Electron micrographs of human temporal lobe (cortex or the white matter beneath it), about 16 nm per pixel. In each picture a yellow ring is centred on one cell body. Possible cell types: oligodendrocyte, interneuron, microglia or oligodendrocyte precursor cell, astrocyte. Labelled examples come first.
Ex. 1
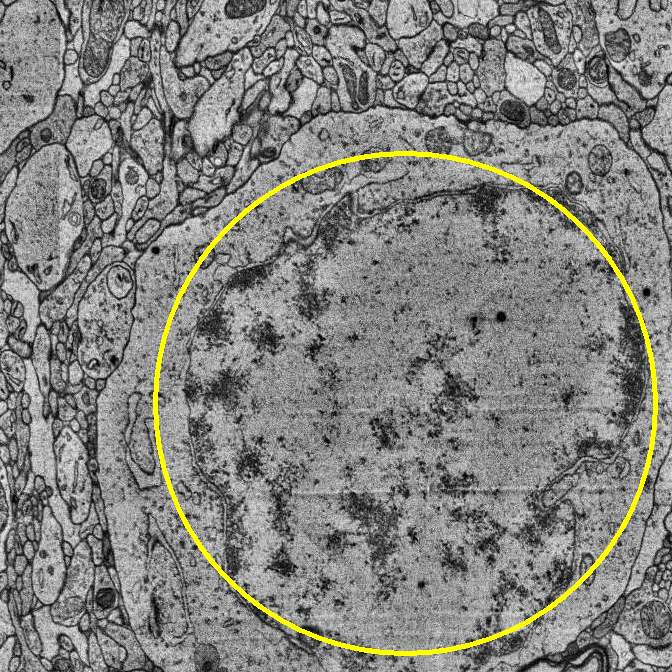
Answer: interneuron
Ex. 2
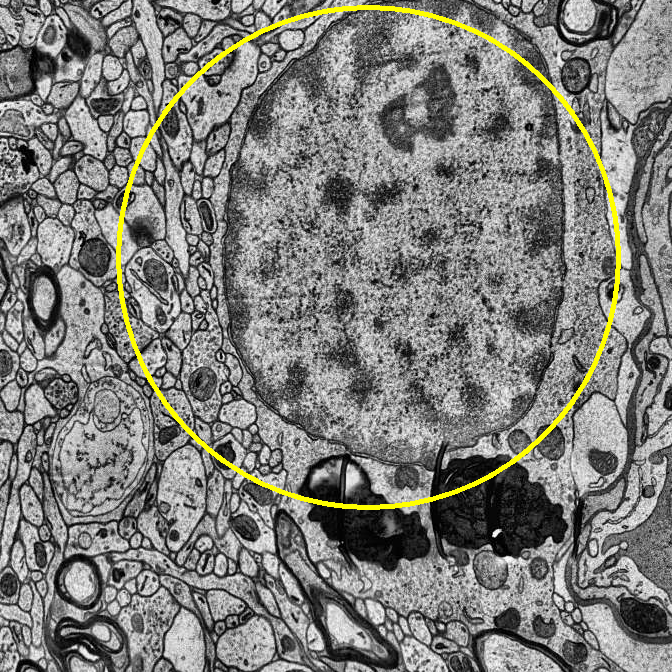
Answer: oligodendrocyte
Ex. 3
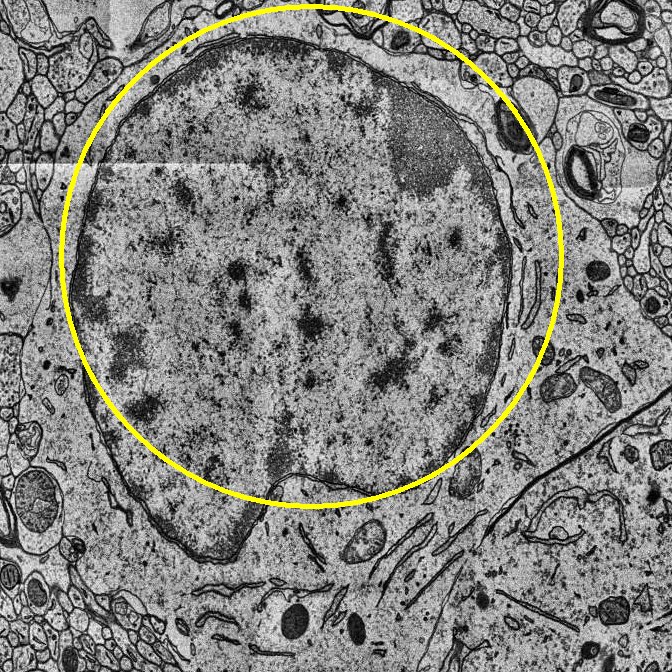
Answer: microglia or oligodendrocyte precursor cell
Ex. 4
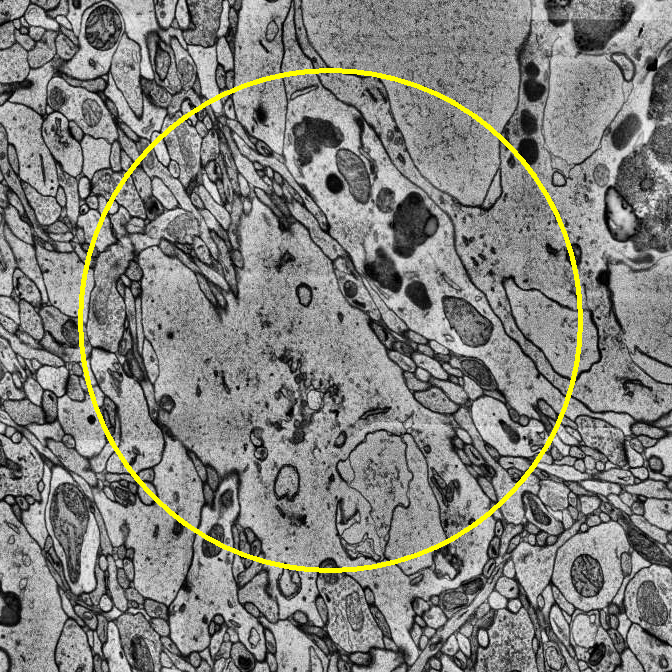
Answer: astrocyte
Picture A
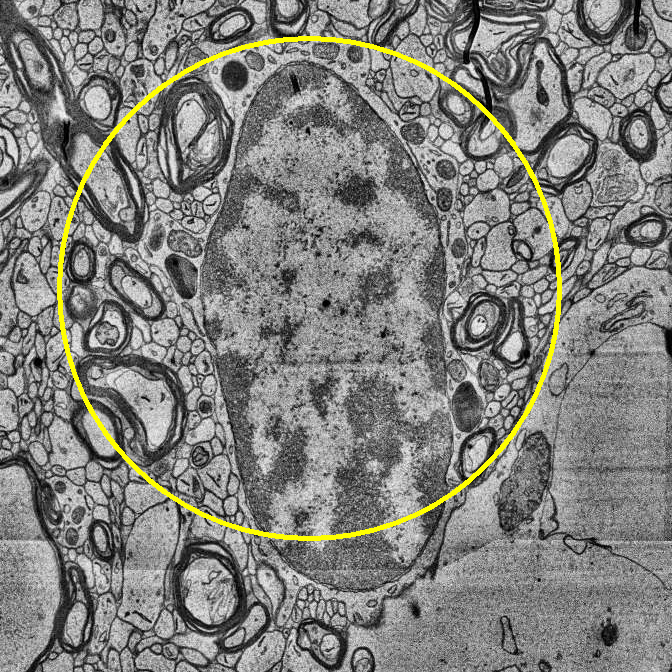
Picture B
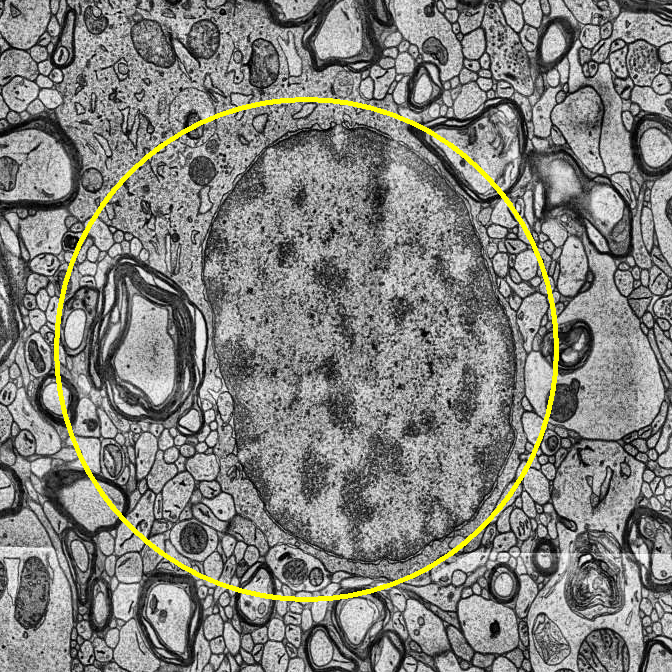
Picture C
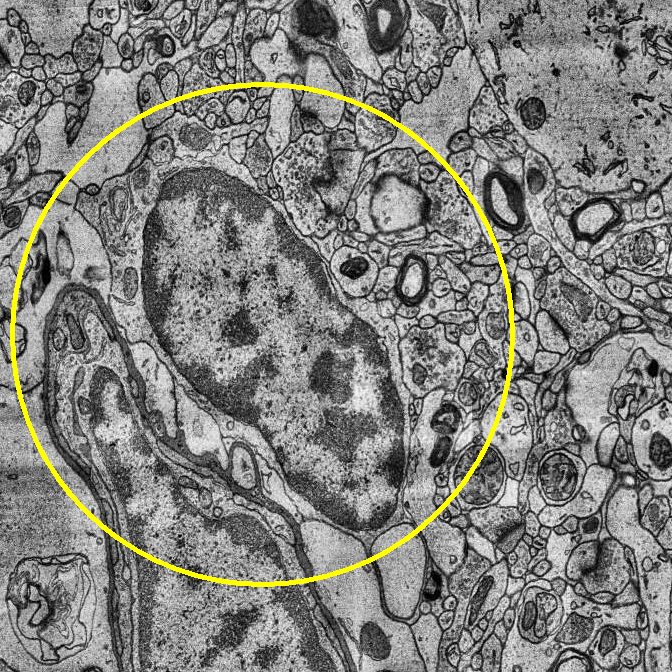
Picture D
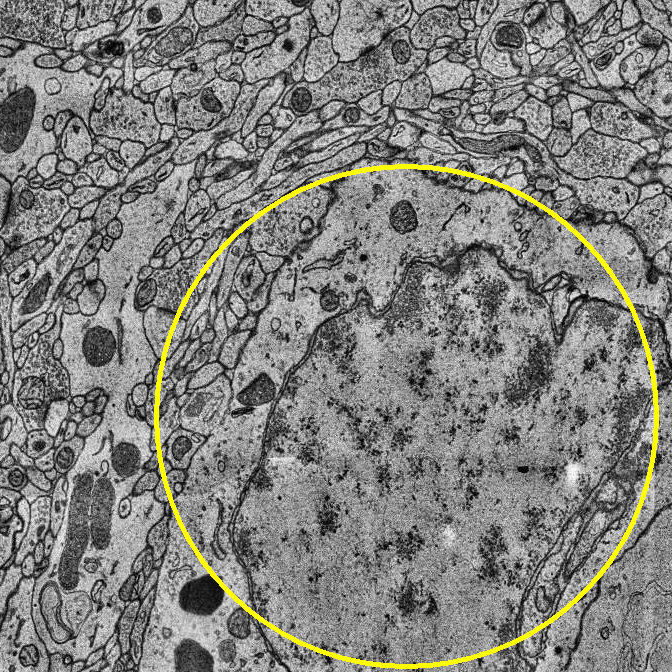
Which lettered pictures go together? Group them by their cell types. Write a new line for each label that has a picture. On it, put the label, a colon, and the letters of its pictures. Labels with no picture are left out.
oligodendrocyte: B
interneuron: D
microglia or oligodendrocyte precursor cell: A, C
